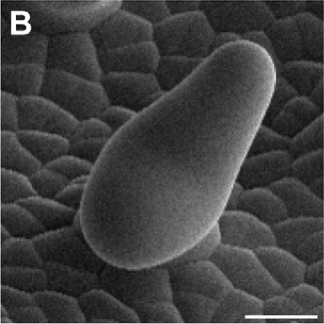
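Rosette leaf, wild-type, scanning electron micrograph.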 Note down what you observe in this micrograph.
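A single emerging trichome rises from the leaf epidermis as a smooth, unbranched, club-shaped outgrowth. Around its base lies a pavement of flat, polygonal epidermal cells with clear boundaries between them.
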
